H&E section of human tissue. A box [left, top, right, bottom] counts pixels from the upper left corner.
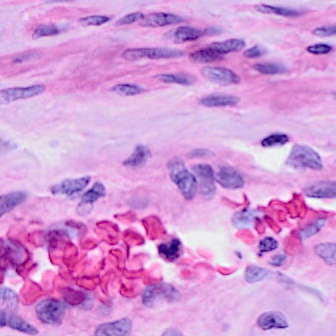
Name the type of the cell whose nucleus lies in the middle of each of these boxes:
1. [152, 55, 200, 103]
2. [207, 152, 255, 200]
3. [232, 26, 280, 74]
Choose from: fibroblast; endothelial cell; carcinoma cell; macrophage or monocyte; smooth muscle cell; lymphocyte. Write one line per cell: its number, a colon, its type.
1: smooth muscle cell
2: endothelial cell
3: smooth muscle cell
